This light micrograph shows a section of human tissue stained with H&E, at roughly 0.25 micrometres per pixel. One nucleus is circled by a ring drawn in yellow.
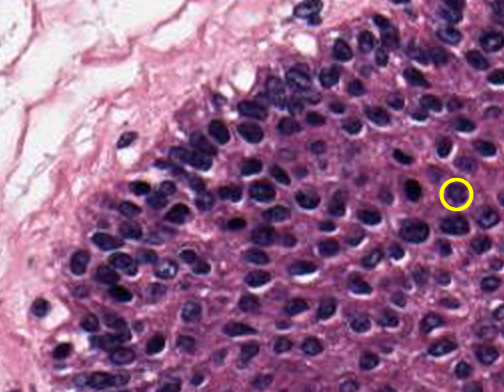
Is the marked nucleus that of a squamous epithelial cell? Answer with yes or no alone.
yes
